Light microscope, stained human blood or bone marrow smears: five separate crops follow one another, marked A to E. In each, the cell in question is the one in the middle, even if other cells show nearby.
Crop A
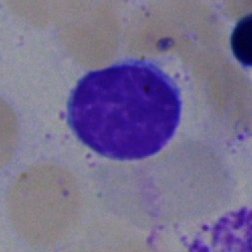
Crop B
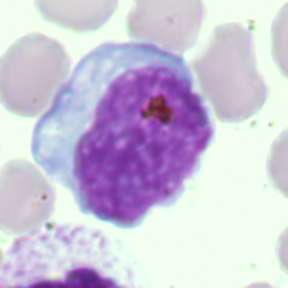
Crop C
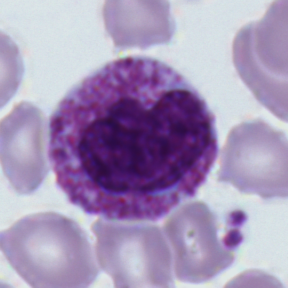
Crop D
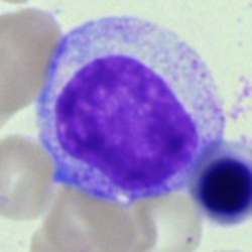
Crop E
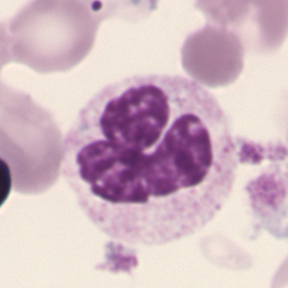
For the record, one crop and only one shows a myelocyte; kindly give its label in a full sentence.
The cell at the center of crop D is the one that is a myelocyte.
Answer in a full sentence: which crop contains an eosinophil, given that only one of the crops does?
The crop with an eosinophil at its center is crop C.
